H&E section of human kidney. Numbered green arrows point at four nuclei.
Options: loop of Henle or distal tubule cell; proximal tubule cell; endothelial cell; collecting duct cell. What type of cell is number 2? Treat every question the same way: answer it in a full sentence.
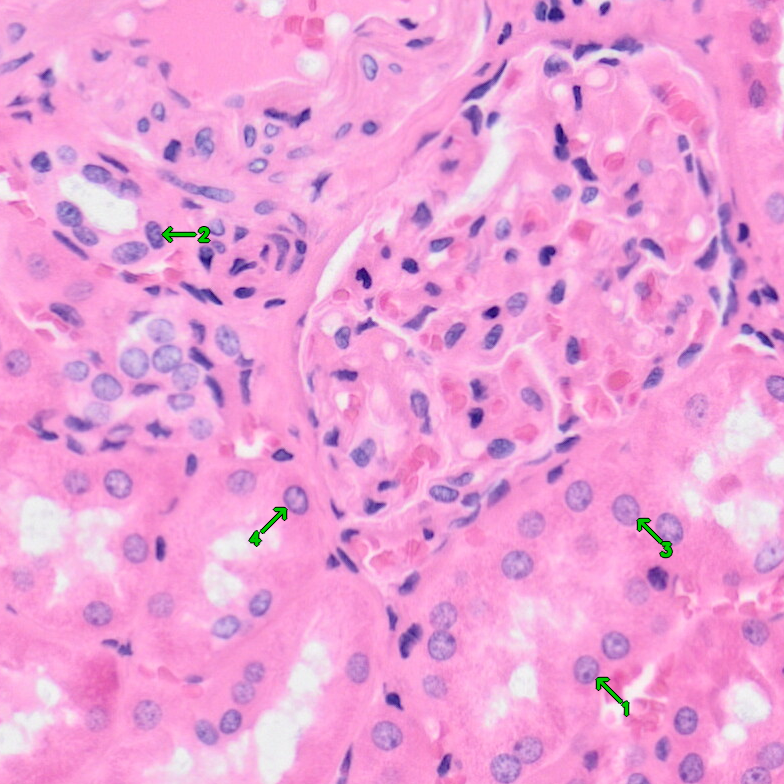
The cell assigned the number 2 is a collecting duct cell.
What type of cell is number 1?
Numbered cell 1 is a proximal tubule cell in this tissue section.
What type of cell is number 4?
Cell 4, as marked in the section, is a proximal tubule cell.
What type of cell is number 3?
Here the cell numbered 3 is a proximal tubule cell.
